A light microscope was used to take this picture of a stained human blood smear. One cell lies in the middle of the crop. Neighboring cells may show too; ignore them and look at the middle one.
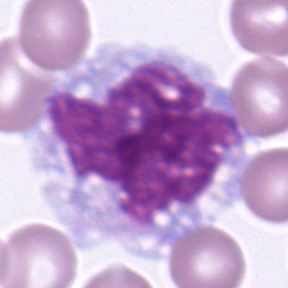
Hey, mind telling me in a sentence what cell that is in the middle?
The target cell in the middle of the crop is a monocyte.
